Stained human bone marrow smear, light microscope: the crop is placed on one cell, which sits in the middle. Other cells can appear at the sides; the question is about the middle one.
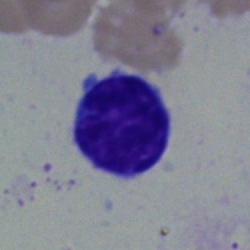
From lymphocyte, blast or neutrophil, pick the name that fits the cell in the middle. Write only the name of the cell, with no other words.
lymphocyte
